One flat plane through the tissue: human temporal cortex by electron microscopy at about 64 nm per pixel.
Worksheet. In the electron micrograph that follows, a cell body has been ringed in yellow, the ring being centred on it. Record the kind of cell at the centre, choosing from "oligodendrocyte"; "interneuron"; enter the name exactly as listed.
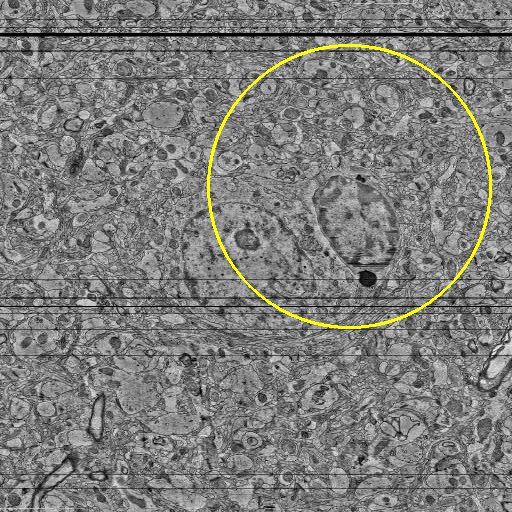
oligodendrocyte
